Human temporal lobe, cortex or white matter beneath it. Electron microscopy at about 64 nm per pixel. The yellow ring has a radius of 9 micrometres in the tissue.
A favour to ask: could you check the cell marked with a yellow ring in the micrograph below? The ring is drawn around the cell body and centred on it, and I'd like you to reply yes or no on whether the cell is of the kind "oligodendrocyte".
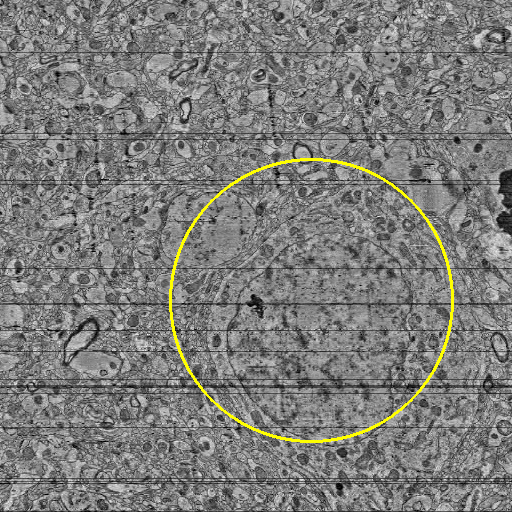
no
